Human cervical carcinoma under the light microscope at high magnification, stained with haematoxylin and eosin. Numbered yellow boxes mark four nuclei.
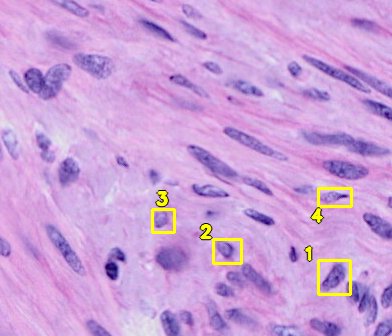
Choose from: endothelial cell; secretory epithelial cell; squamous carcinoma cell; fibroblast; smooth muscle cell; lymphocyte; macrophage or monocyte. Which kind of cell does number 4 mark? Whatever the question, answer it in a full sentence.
The cell referred to as 4 is a smooth muscle cell.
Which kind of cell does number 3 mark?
Cell 3, among those numbered, is a smooth muscle cell.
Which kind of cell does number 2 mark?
The cell referred to as 2 is a smooth muscle cell.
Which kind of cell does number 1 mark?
The cell identified by number 1 is a fibroblast.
